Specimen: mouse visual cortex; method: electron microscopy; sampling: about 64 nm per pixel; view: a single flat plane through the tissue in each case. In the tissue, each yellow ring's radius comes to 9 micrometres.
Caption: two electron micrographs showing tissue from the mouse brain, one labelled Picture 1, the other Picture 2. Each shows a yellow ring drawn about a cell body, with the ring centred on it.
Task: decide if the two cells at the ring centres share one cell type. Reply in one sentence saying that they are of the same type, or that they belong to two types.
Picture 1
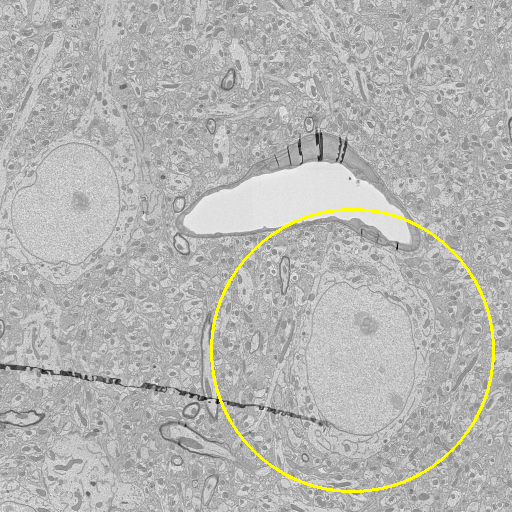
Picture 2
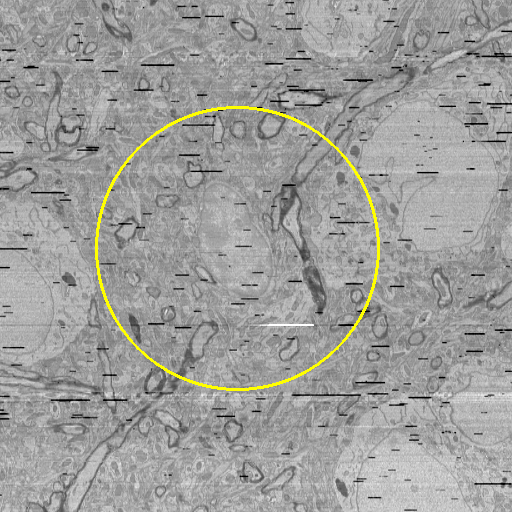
The cells at the ring centres in Picture 1 and Picture 2 belong to two types.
